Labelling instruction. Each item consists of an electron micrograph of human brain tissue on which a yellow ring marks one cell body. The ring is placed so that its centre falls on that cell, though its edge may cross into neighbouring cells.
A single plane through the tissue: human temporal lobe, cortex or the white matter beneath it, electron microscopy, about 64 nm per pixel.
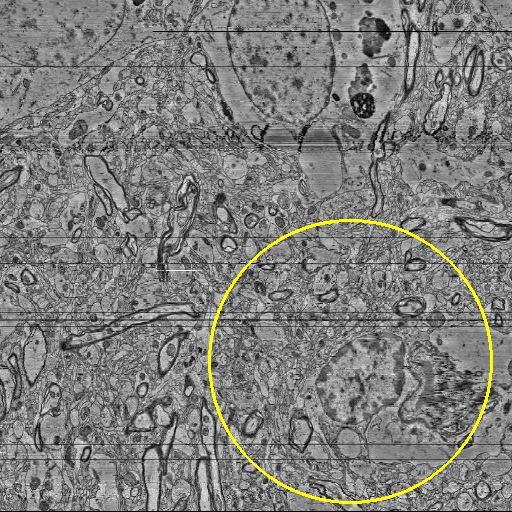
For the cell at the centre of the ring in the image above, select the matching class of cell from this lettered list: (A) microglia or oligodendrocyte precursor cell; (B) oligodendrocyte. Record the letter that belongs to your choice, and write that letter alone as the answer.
A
